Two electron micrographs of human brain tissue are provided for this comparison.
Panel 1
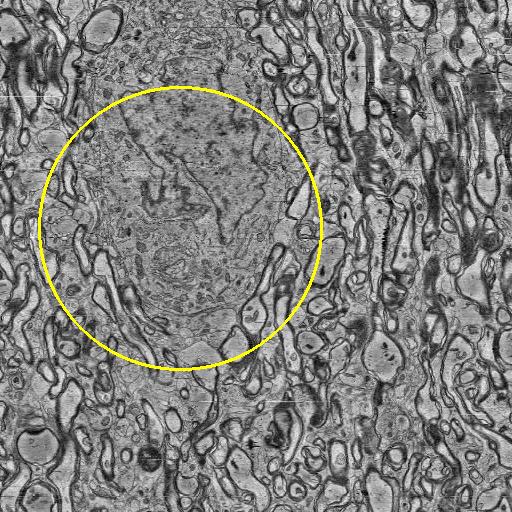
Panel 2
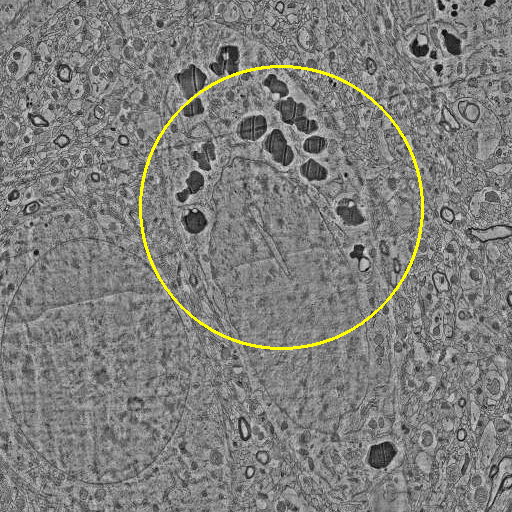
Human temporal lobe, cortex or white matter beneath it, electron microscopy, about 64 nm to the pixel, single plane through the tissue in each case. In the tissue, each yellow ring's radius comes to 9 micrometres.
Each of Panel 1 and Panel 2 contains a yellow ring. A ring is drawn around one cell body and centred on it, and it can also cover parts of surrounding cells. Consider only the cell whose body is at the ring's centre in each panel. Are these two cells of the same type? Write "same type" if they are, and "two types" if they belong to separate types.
same type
